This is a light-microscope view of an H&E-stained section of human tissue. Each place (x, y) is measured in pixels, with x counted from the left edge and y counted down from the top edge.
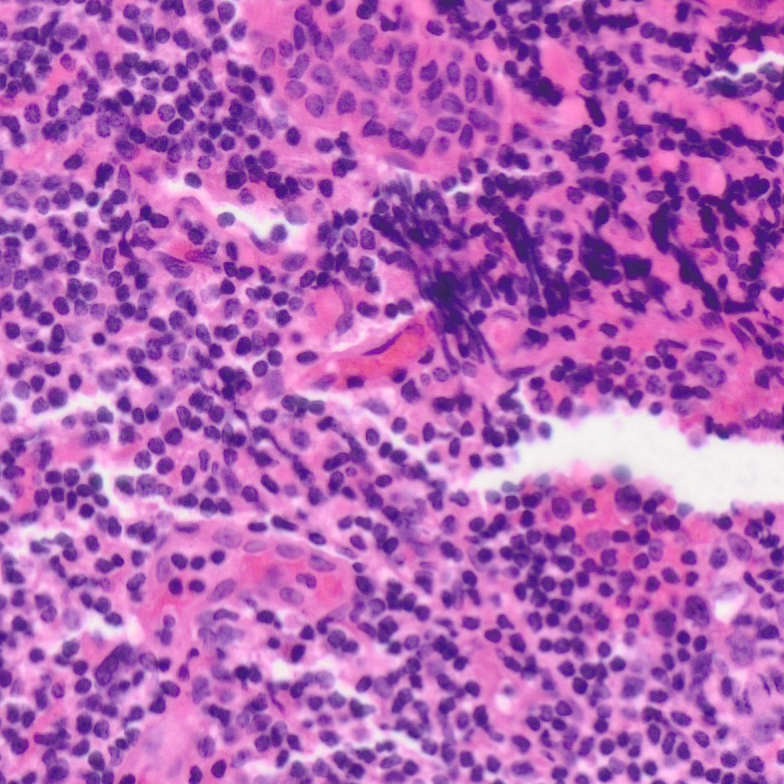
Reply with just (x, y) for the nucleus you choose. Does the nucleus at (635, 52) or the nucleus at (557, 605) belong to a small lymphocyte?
(557, 605)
